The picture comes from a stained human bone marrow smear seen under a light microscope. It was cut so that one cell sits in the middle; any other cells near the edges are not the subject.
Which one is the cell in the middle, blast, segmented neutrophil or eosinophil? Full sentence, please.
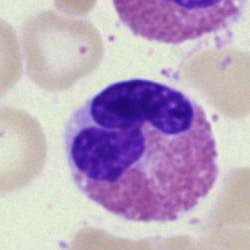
For this crop, the cell in the middle is an eosinophil.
